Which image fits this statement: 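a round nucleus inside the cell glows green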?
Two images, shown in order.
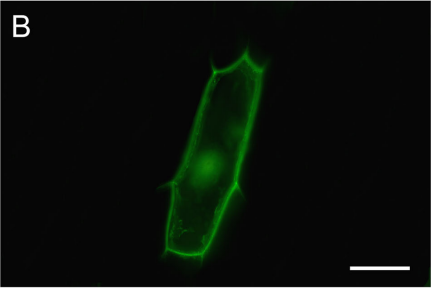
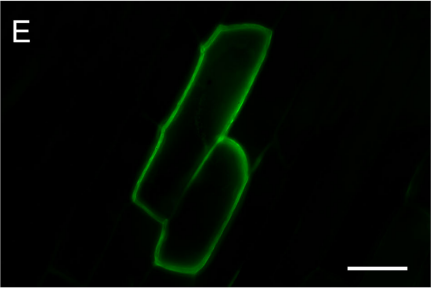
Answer: The first image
